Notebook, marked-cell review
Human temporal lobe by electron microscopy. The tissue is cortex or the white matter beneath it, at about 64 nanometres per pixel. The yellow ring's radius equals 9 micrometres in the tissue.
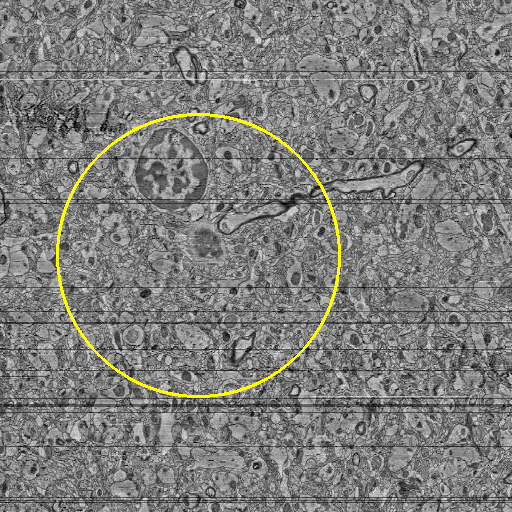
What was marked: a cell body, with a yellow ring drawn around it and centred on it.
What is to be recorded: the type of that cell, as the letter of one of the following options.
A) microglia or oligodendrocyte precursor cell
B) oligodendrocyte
B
